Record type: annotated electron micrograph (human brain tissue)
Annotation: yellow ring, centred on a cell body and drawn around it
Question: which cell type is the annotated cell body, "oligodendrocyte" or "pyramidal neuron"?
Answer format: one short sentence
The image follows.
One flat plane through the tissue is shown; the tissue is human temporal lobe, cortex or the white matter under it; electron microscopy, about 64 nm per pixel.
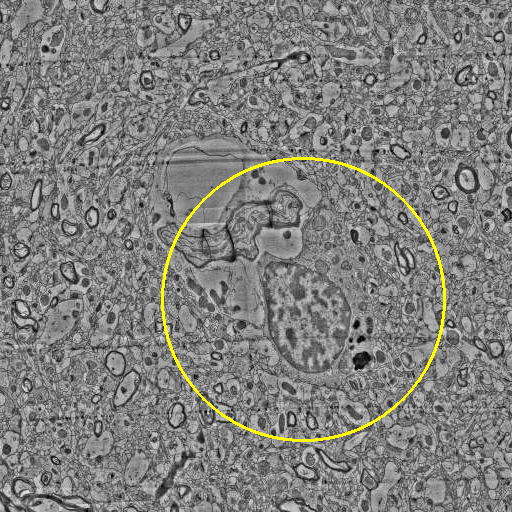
The annotated cell body is that of an oligodendrocyte.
